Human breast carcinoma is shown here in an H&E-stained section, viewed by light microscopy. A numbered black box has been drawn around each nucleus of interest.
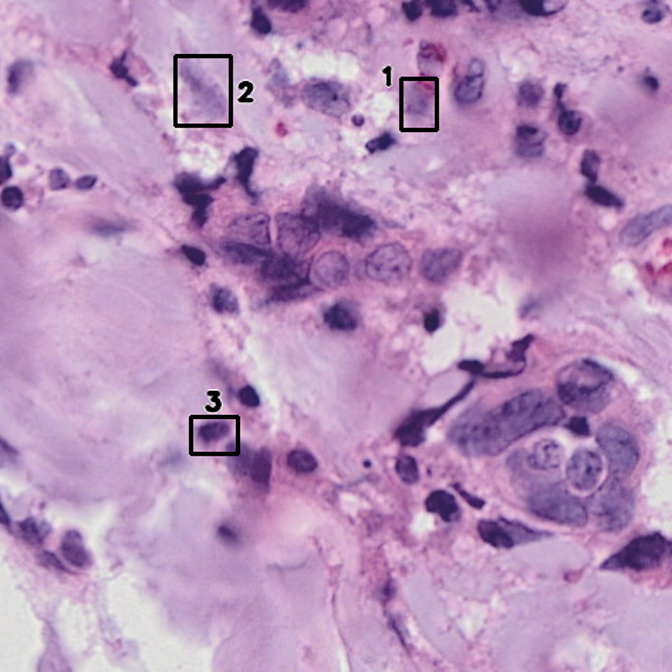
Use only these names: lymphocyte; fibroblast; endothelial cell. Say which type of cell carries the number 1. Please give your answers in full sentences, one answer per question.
Marked with the number 1, this cell is an endothelial cell.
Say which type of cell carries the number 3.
The expected answer is that cell 3 is a lymphocyte.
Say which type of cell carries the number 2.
The numbered cell 2 is identified here as a fibroblast.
